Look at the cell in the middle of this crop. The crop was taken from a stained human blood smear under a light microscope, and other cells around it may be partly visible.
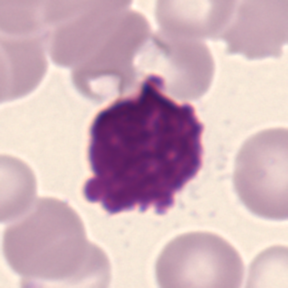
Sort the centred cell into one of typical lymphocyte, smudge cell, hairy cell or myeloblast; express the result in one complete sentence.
The cell centered in this field of view is a smudge cell.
